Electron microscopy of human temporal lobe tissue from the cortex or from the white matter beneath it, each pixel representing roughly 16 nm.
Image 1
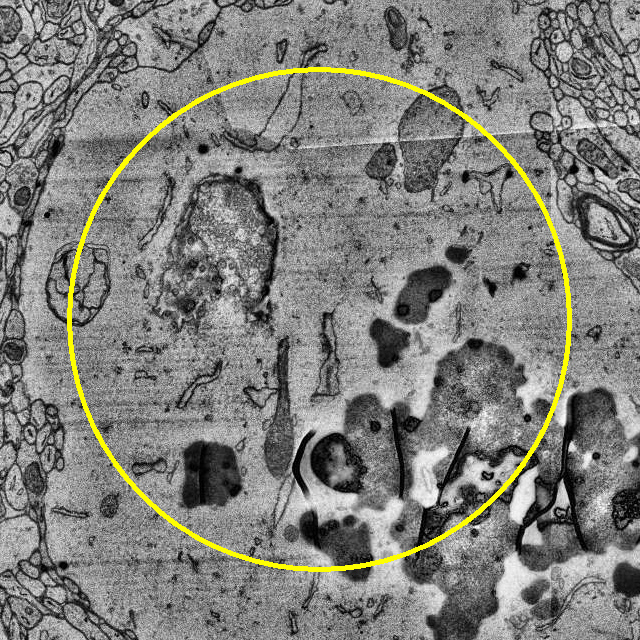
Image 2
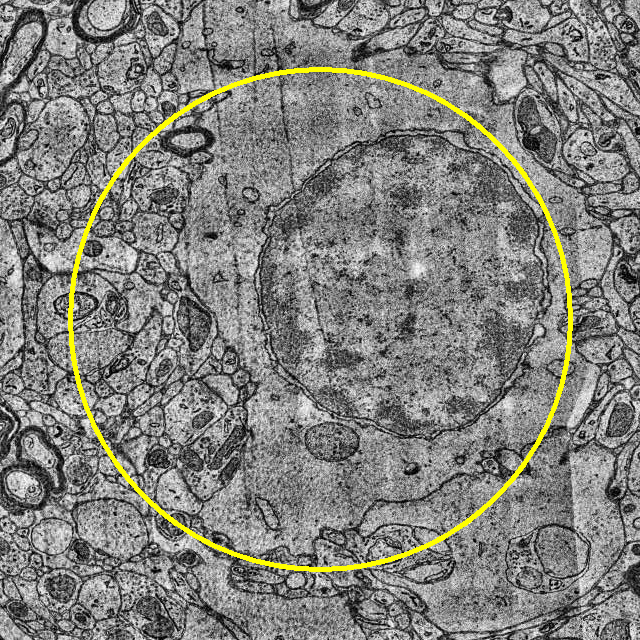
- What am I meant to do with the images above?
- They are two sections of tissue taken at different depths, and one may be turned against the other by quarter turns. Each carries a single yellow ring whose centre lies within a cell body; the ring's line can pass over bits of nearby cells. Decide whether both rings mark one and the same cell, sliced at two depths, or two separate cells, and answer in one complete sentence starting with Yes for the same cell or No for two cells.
No, one ring and the other ring mark two distinct cells.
